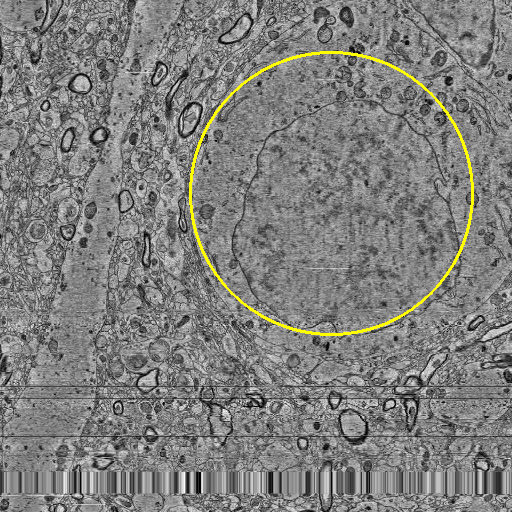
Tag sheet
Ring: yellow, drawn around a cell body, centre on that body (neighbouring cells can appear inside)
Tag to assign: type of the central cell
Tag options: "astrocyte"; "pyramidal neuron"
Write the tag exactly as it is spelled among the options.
pyramidal neuron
